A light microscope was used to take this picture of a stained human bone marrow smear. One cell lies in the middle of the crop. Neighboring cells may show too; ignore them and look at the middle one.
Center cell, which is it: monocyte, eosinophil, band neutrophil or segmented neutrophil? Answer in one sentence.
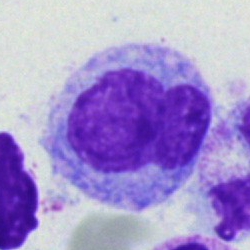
Looking at the middle of the crop, the cell there is a monocyte.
